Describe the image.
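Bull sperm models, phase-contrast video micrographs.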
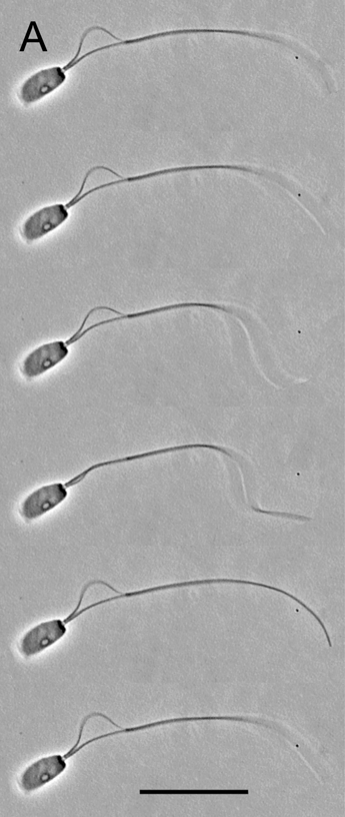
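The head is a small flattened oval at the left and stays in the same place in each frame. A long, thin flagellum runs from it toward the right, several times the length of the head. The far part of the tail changes shape from frame to frame: it curves downward, and in some frames it is sharply kinked into a bend.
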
